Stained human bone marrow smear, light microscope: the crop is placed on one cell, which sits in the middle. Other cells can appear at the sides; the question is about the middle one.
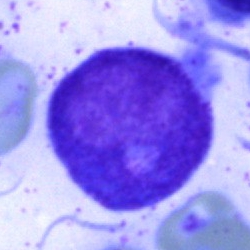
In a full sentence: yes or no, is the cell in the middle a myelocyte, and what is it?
No, the one in the center is not a myelocyte; it is a promyelocyte.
